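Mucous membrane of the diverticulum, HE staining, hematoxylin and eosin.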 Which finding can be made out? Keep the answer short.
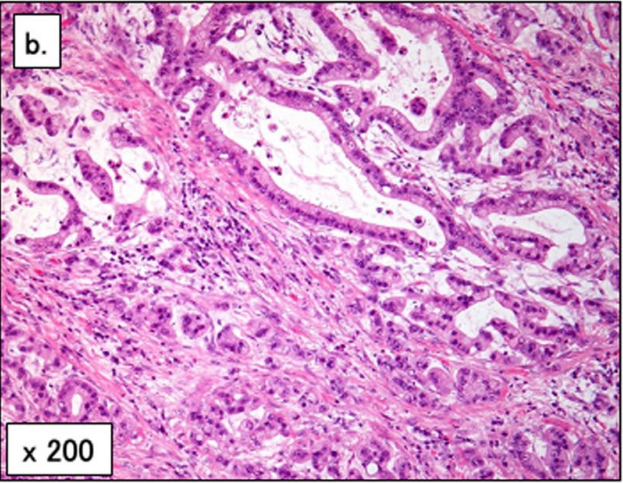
Atypical columnar epithelium.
